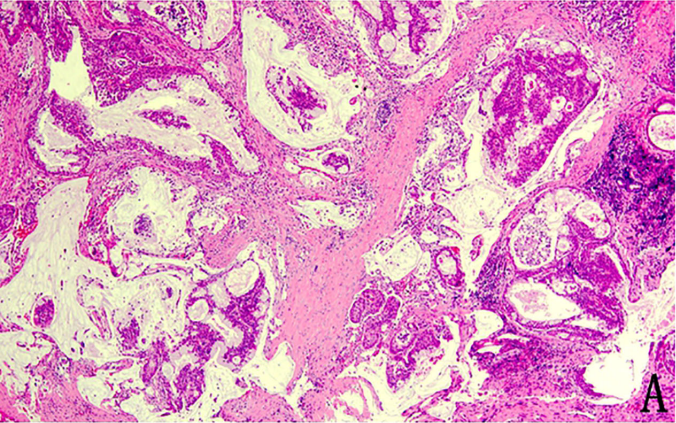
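At low magnification this tumour is made of irregular nests and islands of purple-staining epithelium set in pink fibrous stroma. Large pale, faintly stained pools of mucin lie between and within the epithelial islands, some lined by a thin rim of epithelium. A band of dense pink collagen runs through the middle, and a dark blue aggregate of small cells lies at the right edge.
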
